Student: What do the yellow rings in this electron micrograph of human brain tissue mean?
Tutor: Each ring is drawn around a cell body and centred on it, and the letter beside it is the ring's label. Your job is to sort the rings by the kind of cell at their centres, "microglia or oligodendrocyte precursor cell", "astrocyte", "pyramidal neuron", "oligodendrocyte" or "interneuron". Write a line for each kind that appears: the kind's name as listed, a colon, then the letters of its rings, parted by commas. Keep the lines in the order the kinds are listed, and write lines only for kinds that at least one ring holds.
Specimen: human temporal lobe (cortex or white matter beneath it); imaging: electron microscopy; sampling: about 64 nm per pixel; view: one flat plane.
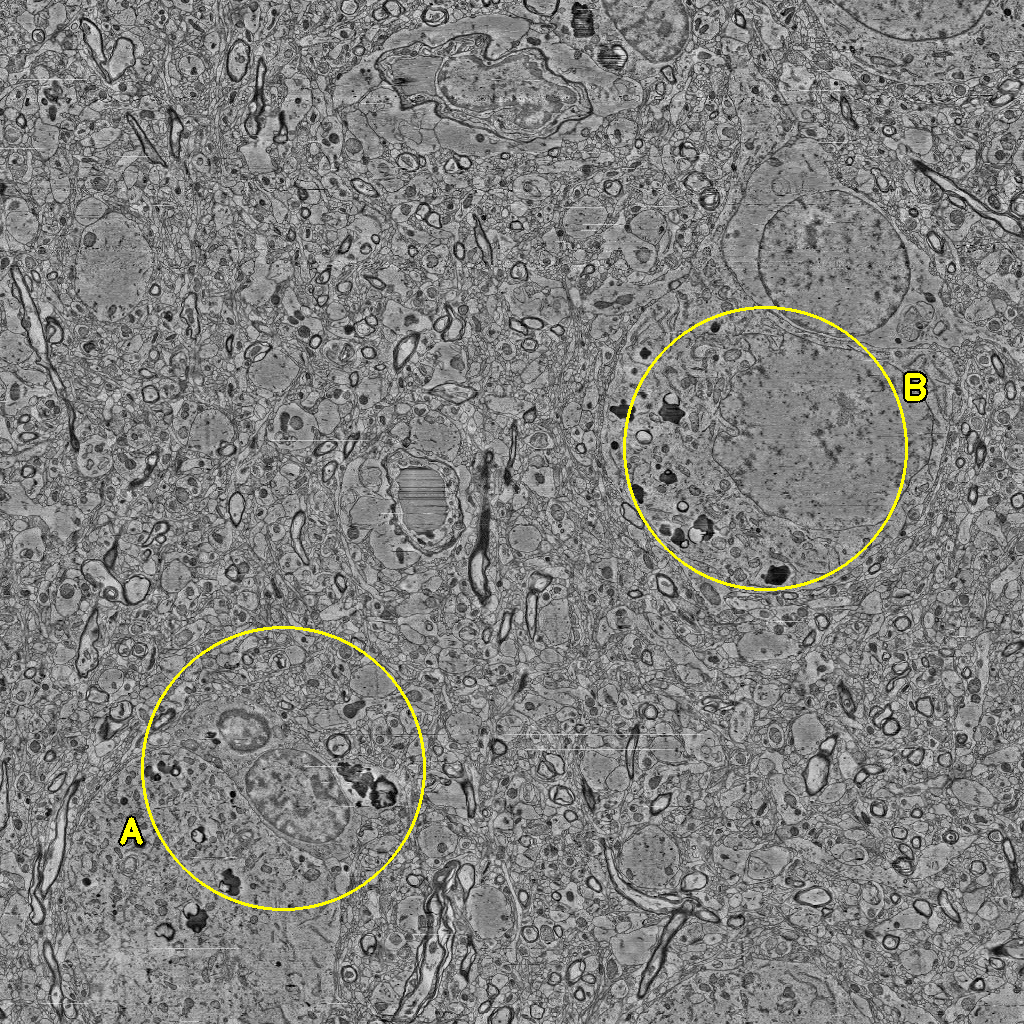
pyramidal neuron: B
oligodendrocyte: A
